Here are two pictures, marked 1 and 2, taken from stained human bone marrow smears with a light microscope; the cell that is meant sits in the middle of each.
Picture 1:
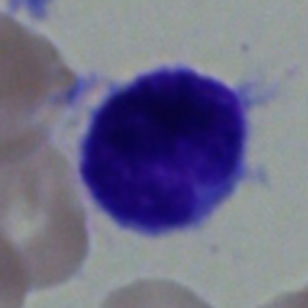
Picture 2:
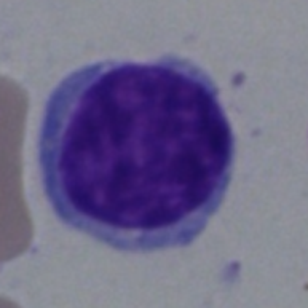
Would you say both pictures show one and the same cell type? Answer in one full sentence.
Yes, both are lymphocytes.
